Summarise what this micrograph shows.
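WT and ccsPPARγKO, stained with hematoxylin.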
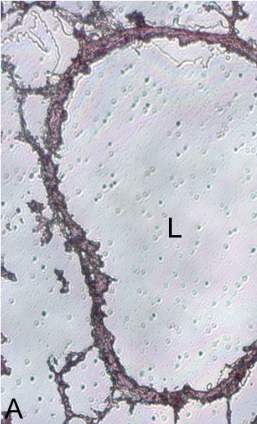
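The section shows a bronchiole of the lung, cut across, with its epithelium forming a continuous dark band around a wide, round open lumen. The band is densely stained purple-brown and of fairly even thickness around most of the circumference. Individual cells are hard to separate at this magnification, but the lining appears compact and closely packed. Outside the ring, thin branching walls of the surrounding alveolar tissue extend away from the airway. The lumen is clear apart from small scattered round particles lying over the section.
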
